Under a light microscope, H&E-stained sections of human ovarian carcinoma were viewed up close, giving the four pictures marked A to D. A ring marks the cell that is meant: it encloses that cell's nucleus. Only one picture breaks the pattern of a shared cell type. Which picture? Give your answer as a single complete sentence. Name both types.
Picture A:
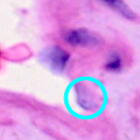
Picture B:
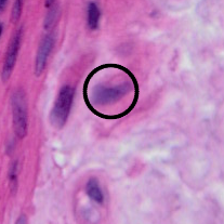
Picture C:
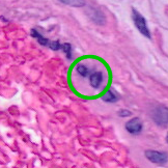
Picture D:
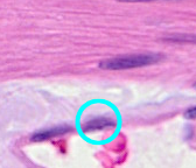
Picture B differs, because its cell is a smooth muscle cell and the rest are endothelial cells.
